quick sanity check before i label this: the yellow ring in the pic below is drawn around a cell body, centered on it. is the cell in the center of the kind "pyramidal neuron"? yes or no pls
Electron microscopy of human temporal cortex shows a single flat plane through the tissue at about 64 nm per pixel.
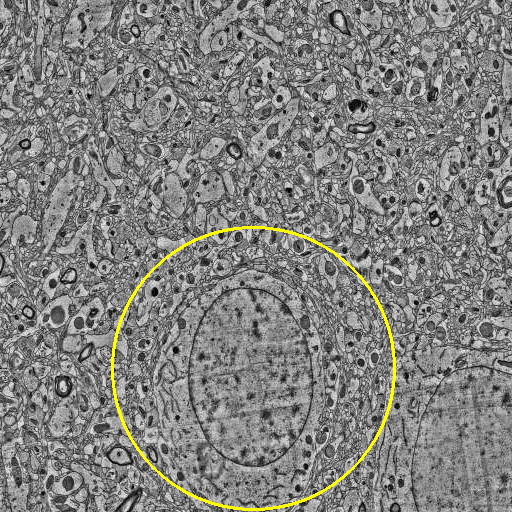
yes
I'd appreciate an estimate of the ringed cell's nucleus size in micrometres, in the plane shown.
About 11 by 8 micrometers, in this plane.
